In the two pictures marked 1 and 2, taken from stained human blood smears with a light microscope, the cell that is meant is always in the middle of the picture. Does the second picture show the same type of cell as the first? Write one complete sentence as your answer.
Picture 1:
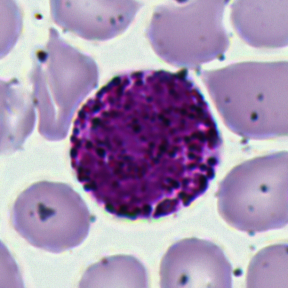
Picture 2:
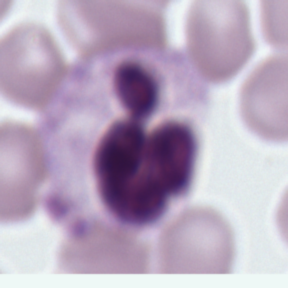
No, picture 1 shows a basophil and picture 2 shows a segmented neutrophil.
